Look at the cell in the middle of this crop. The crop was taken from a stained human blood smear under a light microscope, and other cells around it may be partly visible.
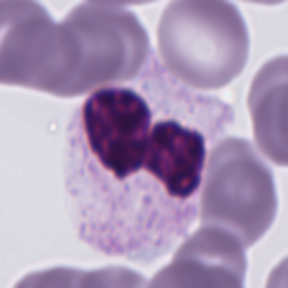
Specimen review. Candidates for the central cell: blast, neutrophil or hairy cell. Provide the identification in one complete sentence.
The middle position in this crop is taken by a neutrophil.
